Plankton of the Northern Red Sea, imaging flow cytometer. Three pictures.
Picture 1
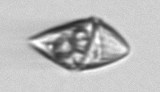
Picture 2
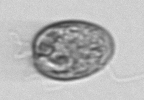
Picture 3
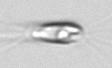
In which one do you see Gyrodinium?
In picture 1.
